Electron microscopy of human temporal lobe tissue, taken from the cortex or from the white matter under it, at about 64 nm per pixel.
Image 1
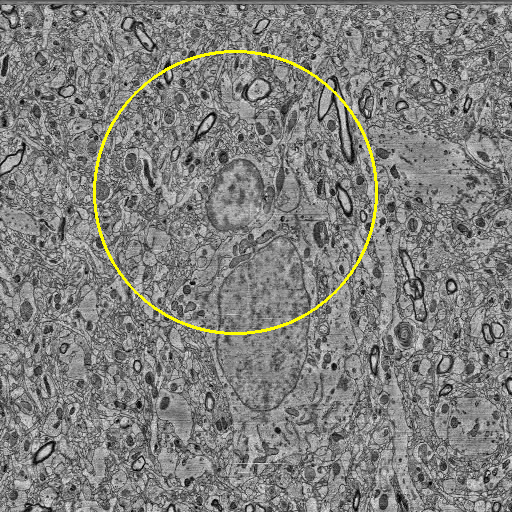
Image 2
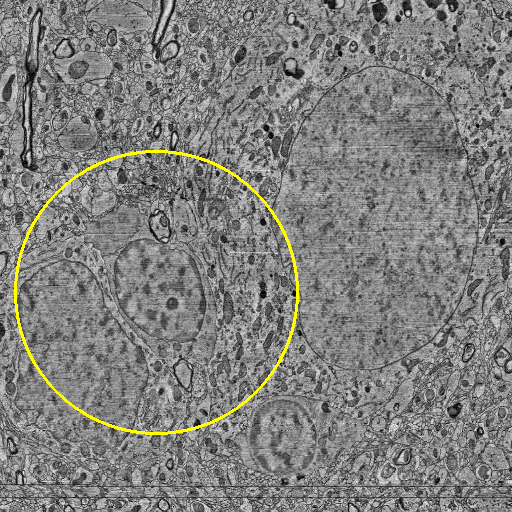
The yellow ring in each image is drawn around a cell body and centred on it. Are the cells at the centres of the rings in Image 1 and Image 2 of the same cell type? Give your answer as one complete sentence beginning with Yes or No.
Yes, both cells are of the same type.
